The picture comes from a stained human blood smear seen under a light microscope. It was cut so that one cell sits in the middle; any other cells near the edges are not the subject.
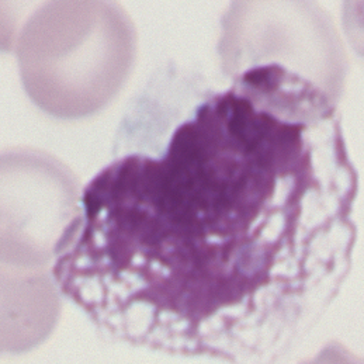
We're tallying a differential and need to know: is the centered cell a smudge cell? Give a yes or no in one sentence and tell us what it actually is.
Yes, the cell in the middle of the crop is a smudge cell.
